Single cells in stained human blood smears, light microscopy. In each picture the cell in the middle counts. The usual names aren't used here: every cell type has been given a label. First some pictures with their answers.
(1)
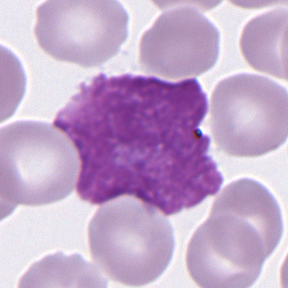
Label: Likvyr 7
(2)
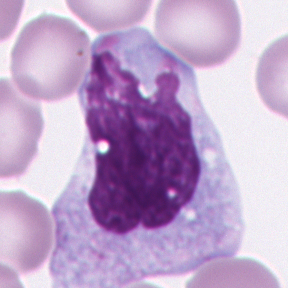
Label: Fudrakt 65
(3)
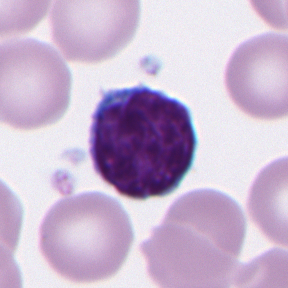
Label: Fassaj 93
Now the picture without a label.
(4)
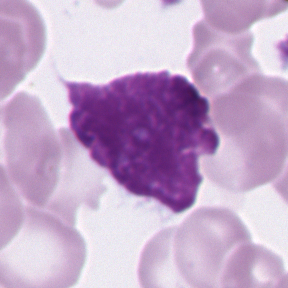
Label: Likvyr 7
